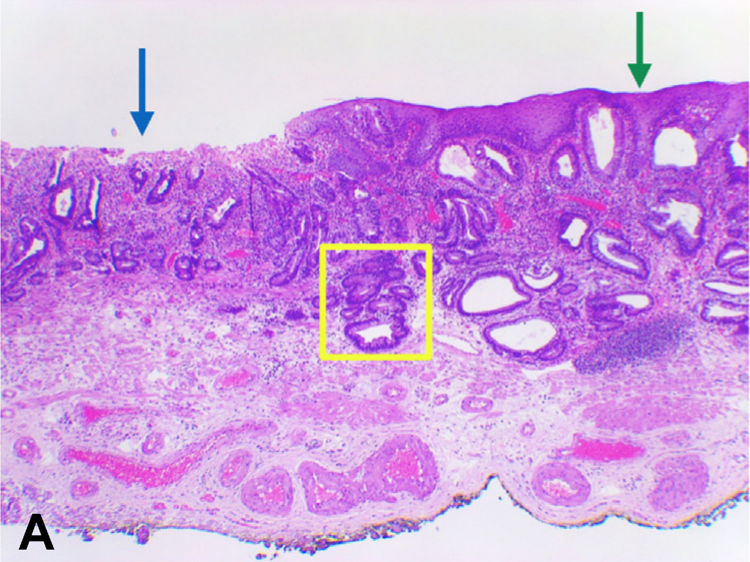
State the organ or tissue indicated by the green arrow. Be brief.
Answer: Normal esophageal squamous epithelium.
